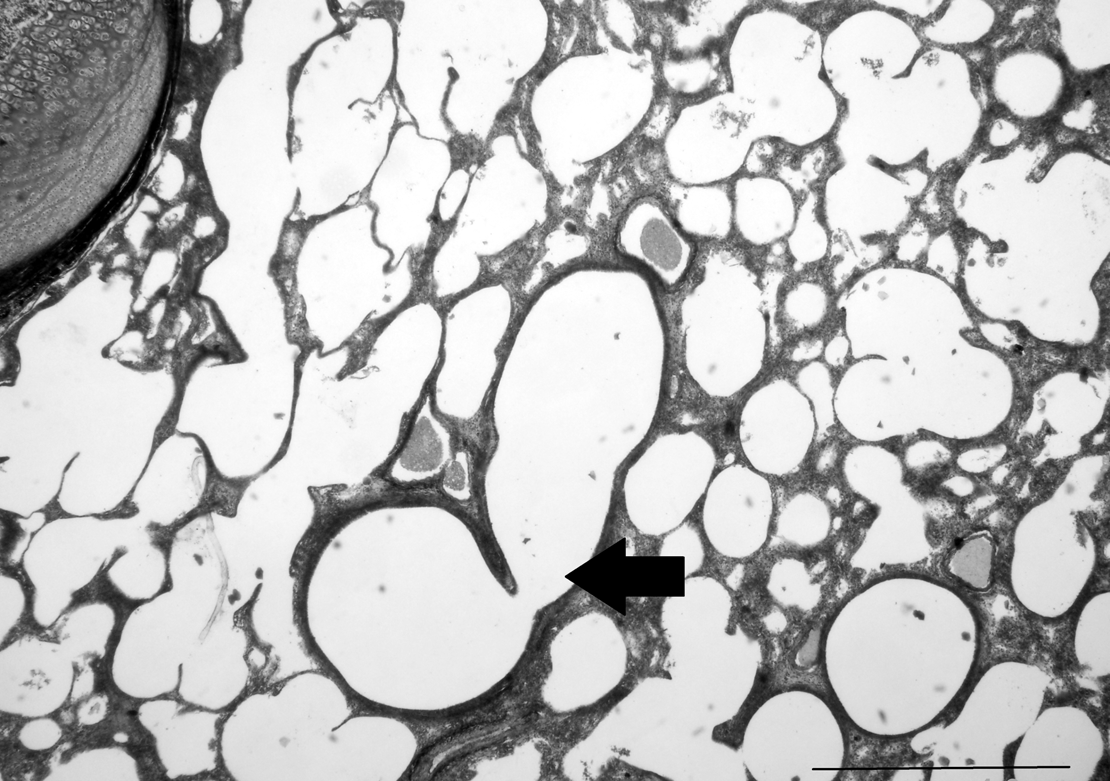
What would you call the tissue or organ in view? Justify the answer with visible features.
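Honeycomb of empty airspaces divided by thin walls. Small vessel profiles with dense contents lie within the septa.
Hence: Lung.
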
